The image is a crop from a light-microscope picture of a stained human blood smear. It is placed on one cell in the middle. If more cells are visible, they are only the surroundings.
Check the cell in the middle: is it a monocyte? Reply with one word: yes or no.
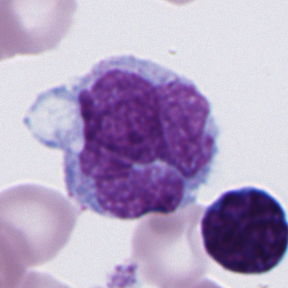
yes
